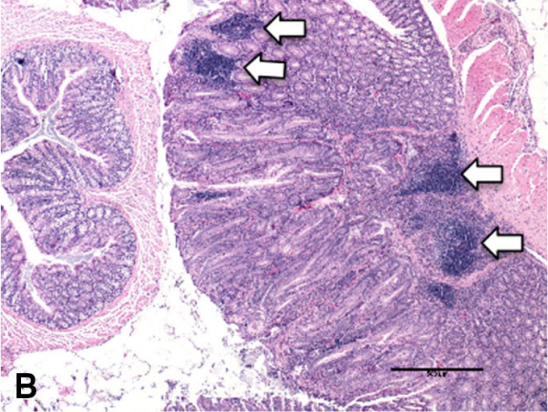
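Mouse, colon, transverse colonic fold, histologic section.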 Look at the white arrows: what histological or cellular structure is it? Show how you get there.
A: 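The arrows point to dense, dark purple clusters of small round nuclei. The clusters lie within the thickened mucosa and toward its base.
Answer: lymphoid aggregates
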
